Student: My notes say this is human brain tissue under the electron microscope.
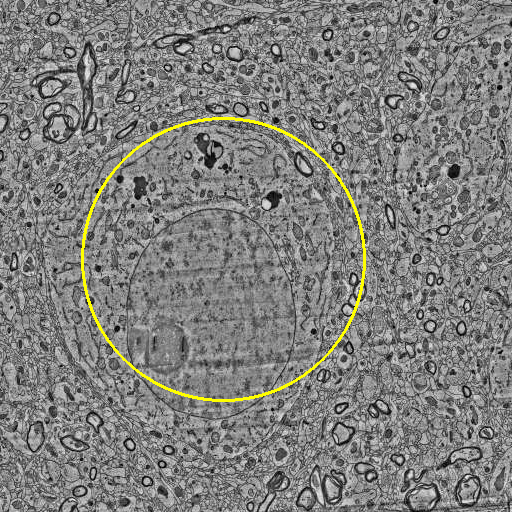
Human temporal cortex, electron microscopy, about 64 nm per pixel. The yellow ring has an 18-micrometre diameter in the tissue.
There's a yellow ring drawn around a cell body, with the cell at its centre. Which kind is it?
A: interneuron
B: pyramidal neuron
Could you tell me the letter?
B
